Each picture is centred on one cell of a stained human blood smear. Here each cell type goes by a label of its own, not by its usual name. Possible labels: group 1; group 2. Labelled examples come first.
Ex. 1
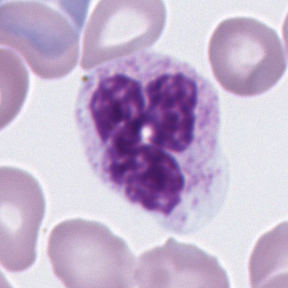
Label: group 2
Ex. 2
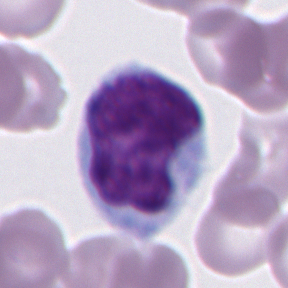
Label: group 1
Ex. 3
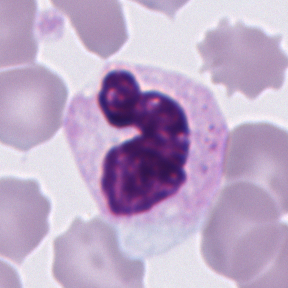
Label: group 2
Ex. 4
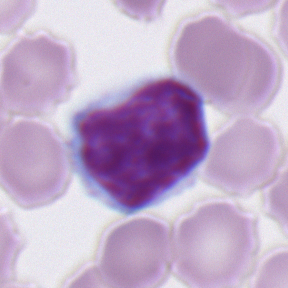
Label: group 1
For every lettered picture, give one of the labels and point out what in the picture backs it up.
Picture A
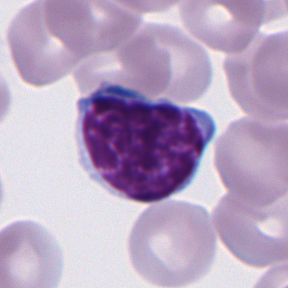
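group 1. Evidence: The cytoplasm forms only a thin rim around the nucleus.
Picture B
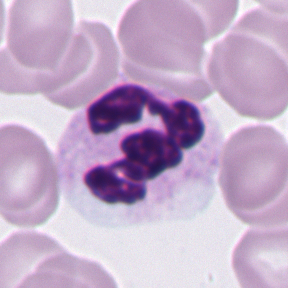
group 2. Evidence: The cytoplasm is plentiful and pale lilac-pink.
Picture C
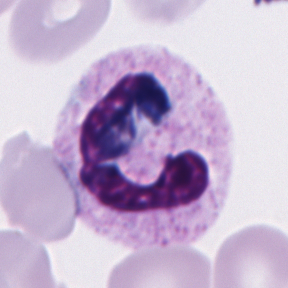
group 2. Evidence: The nucleus is a curved band shaped like a C that opens toward the right.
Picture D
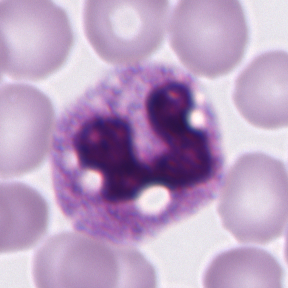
group 2. Evidence: Abundant lilac-pink cytoplasm surrounds the nucleus.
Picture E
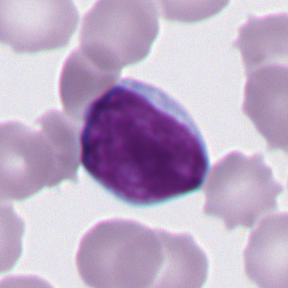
group 1. Evidence: The cytoplasm is a scant rim that is widest along the upper right side of the cell.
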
